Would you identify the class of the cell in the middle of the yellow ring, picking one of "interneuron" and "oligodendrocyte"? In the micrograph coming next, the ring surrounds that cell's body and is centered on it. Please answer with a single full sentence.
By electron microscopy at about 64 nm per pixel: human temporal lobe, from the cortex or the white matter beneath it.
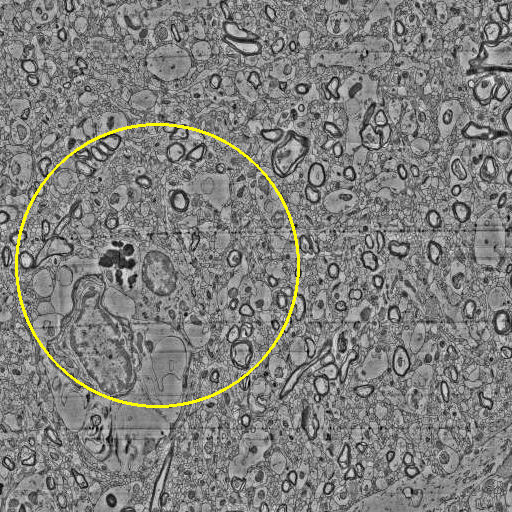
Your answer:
In the micrograph, it is an oligodendrocyte whose body lies at the ring's center.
